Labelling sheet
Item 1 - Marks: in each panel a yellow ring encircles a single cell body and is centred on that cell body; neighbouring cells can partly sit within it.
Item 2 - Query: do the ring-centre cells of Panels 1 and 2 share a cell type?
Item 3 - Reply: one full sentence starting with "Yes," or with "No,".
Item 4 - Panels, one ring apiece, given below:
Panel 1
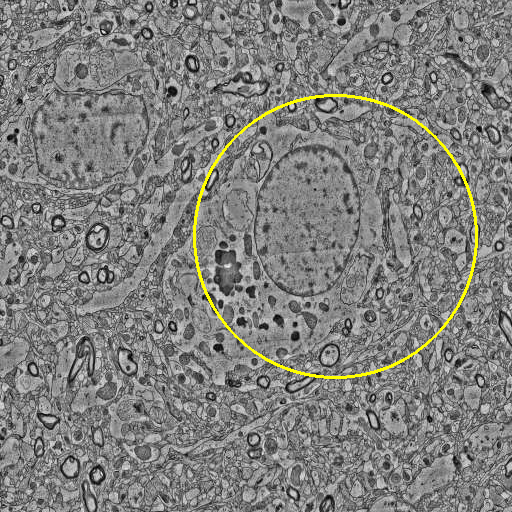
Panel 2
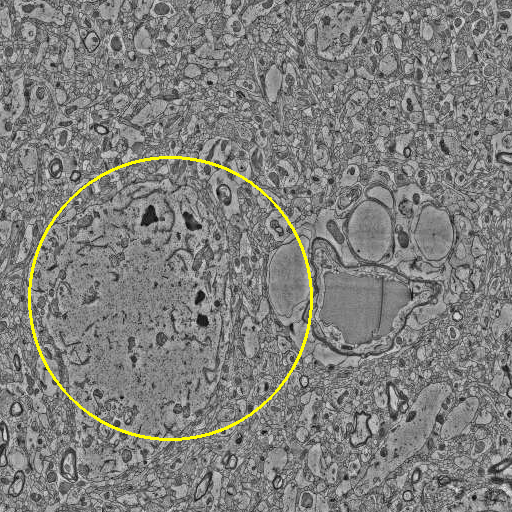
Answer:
No, Panel 1 and Panel 2 show two cell types at the centres of their rings.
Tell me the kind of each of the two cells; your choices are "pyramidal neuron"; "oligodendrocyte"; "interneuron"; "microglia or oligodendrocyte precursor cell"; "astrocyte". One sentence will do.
The ringed cell is an astrocyte in the first picture and a pyramidal neuron in the second picture.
